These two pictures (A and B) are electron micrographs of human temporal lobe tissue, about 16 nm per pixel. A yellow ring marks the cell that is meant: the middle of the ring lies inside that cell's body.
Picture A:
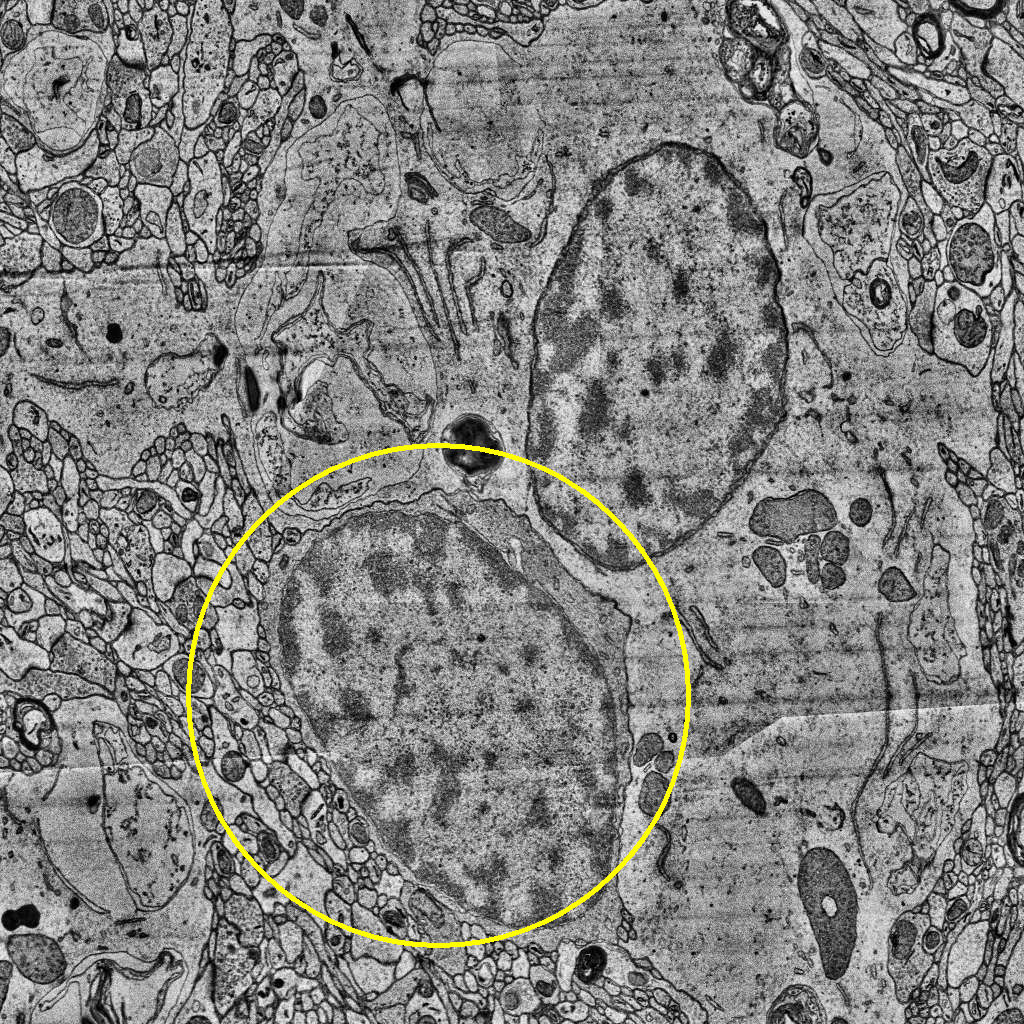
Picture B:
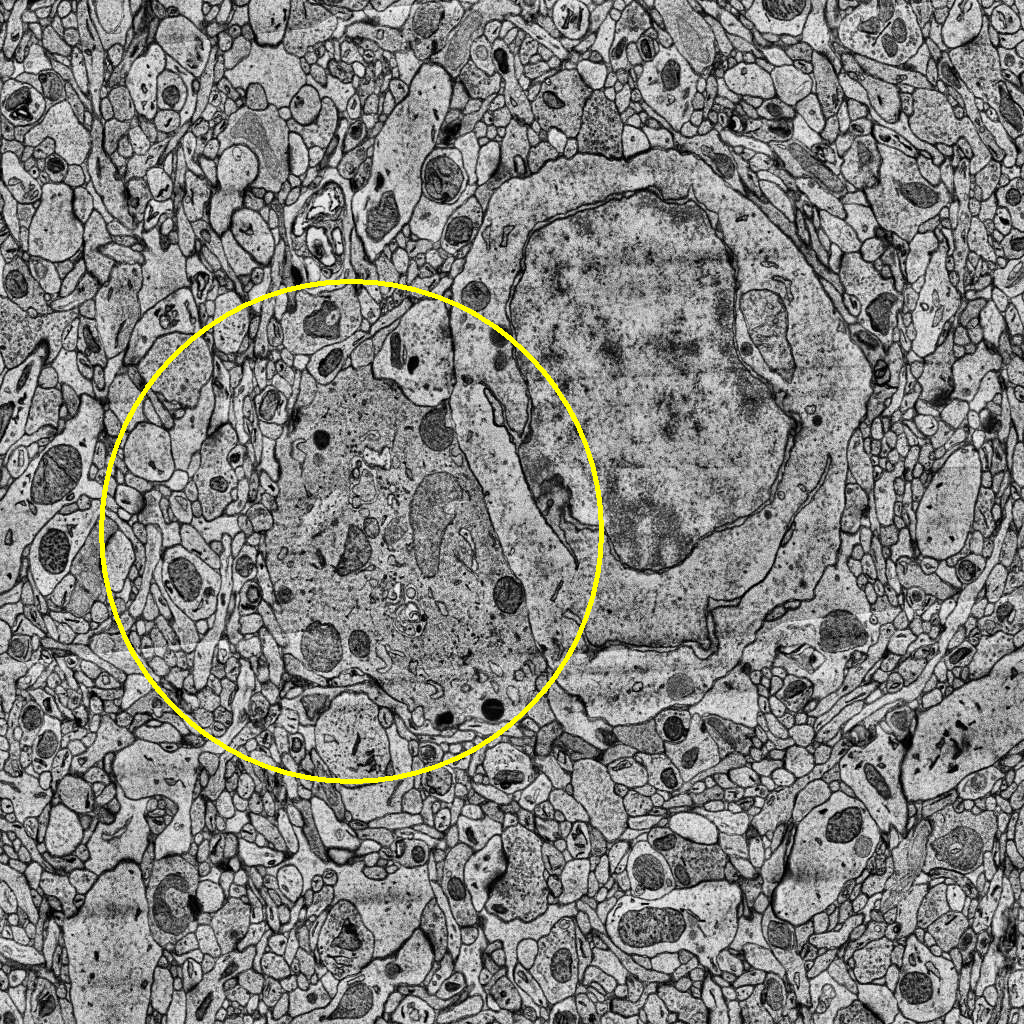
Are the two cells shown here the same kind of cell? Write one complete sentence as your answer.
Yes, both cells are oligodendrocytes.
